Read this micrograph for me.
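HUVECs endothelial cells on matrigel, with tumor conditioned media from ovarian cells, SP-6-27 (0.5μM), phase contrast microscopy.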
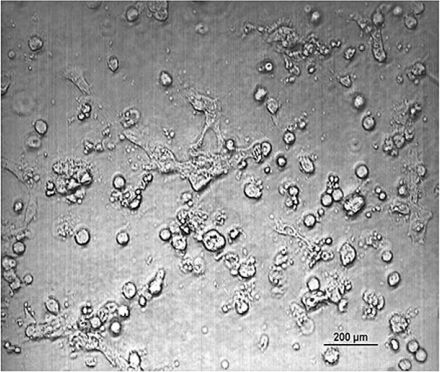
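Most cells are rounded, with bright, refractile outlines, and lie singly or in small irregular clumps. A few short, flattened cell extensions appear among the clusters, but they do not link up into continuous cords. Many small round bodies and debris are scattered across the field. The open polygonal meshwork typical of tube formation is absent.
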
